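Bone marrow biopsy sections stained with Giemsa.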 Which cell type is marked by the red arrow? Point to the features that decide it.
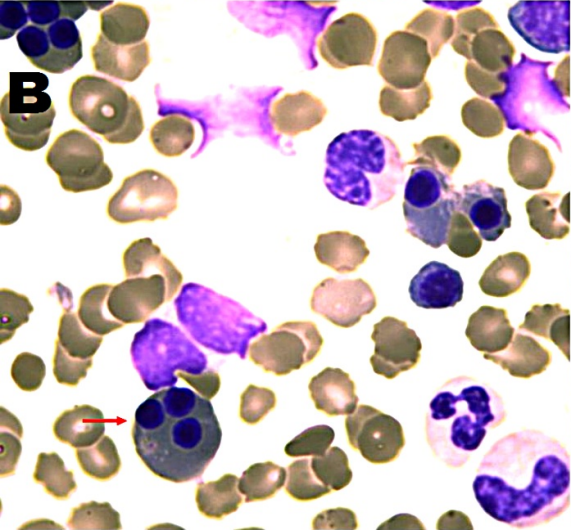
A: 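The marked cell has three round, dark purple nuclei. The nuclei have dense chromatin and are of similar size. The cell has a rim of greyish-blue cytoplasm. The answer: erythroblasts.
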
